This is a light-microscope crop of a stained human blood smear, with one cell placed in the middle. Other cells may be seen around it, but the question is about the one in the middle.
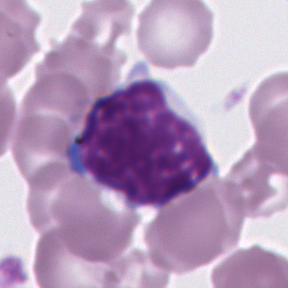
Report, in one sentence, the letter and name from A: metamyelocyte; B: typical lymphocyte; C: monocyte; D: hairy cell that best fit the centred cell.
Here the central cell is a typical lymphocyte, and option B is correct.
